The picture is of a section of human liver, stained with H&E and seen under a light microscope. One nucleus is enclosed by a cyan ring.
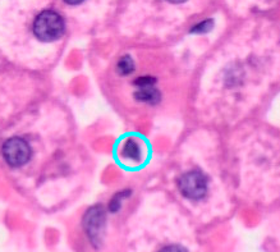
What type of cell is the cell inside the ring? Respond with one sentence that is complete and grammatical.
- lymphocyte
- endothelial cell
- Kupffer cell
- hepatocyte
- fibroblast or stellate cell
As far as its identity is concerned, the cell inside the ring is a lymphocyte.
